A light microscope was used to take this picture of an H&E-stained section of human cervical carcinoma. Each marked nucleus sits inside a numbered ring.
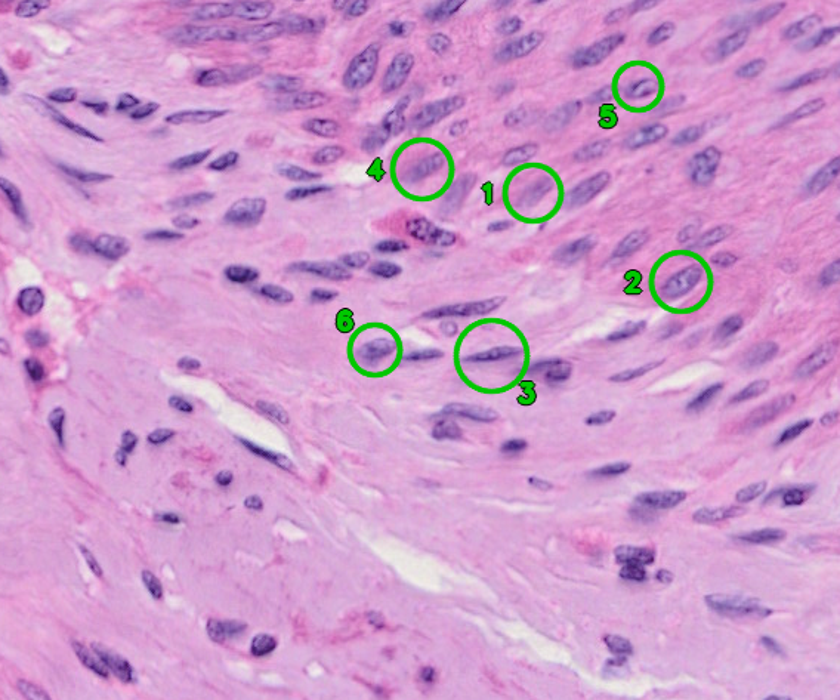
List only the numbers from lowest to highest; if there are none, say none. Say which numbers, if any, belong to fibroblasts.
3, 6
